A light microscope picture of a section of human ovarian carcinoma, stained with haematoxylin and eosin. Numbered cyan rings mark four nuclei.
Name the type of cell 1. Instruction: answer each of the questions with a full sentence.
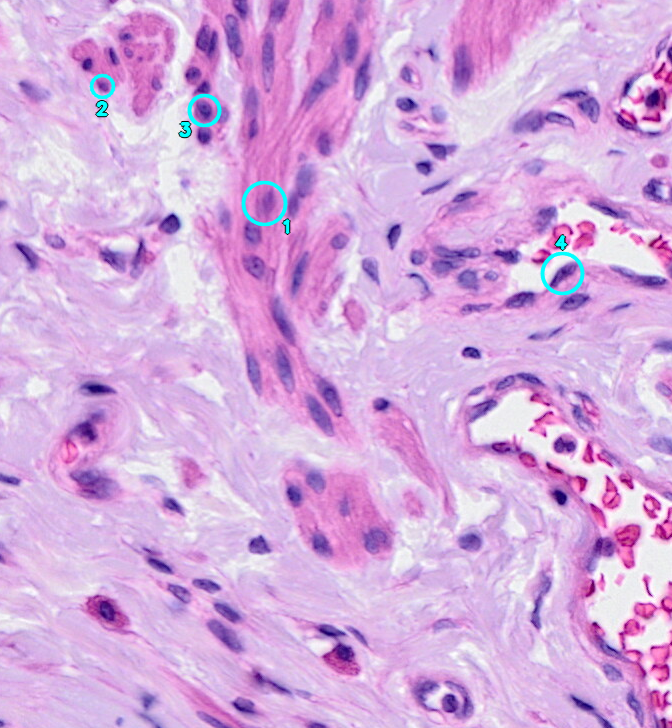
Regarding cell 1, this one is a smooth muscle cell.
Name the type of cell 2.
Cell 2 is classified as a smooth muscle cell.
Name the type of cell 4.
Classified as an endothelial cell is the cell with the number 4.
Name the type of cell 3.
Heads up, the cell numbered 3 is a smooth muscle cell.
